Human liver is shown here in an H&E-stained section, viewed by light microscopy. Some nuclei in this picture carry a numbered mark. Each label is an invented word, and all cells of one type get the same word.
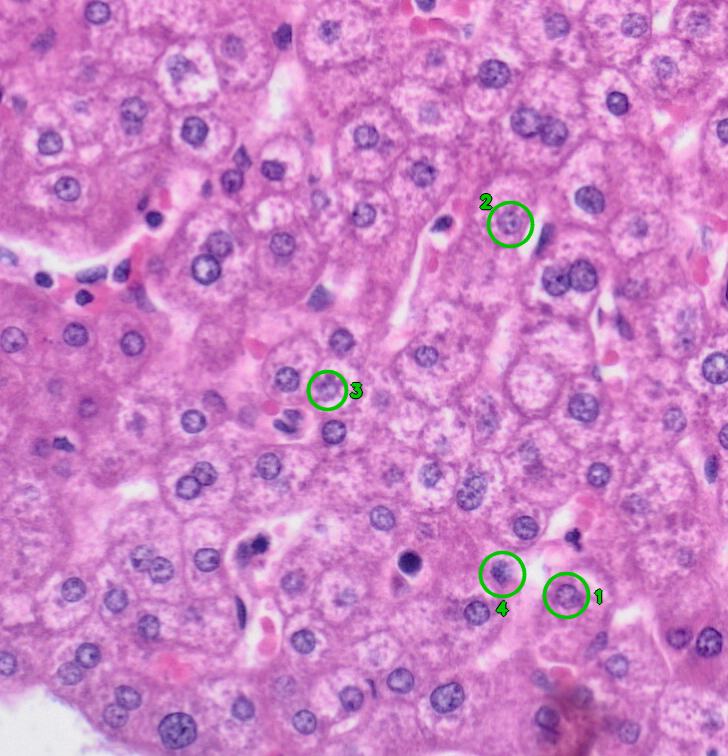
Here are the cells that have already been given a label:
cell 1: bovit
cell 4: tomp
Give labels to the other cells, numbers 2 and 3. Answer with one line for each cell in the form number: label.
2: bovit
3: bovit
